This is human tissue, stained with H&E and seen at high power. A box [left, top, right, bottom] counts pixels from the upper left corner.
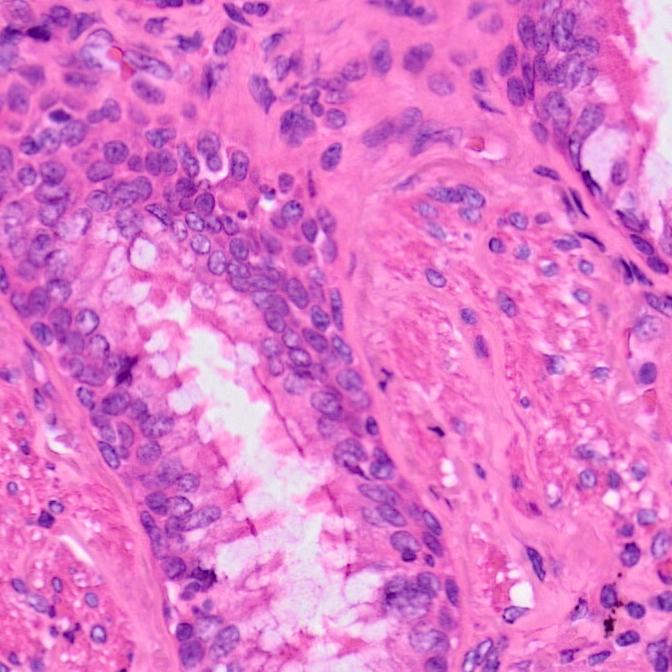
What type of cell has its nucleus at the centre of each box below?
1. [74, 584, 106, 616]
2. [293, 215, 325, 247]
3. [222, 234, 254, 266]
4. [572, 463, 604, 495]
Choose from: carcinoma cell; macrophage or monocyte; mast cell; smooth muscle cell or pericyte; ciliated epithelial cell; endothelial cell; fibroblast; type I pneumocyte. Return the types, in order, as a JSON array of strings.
["smooth muscle cell or pericyte", "ciliated epithelial cell", "ciliated epithelial cell", "smooth muscle cell or pericyte"]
